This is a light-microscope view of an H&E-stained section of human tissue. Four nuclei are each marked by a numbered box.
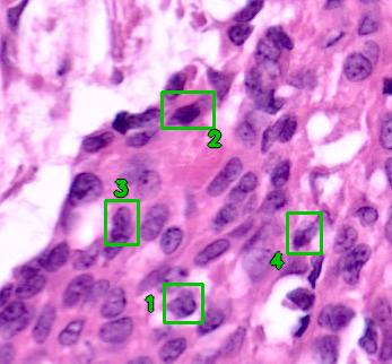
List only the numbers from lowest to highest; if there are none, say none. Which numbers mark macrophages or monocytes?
1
